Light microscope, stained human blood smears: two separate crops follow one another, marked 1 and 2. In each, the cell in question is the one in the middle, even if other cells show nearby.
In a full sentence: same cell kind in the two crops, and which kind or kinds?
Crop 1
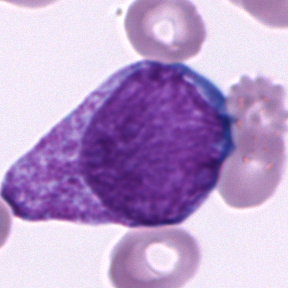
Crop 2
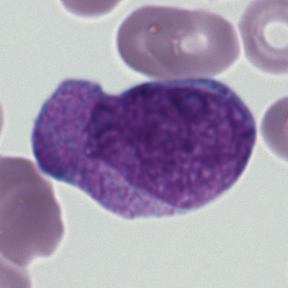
Yes, the same answer goes for both crops, namely atypical promyelocytes.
